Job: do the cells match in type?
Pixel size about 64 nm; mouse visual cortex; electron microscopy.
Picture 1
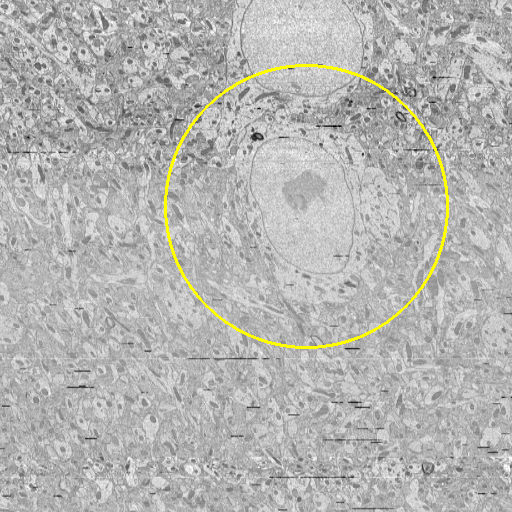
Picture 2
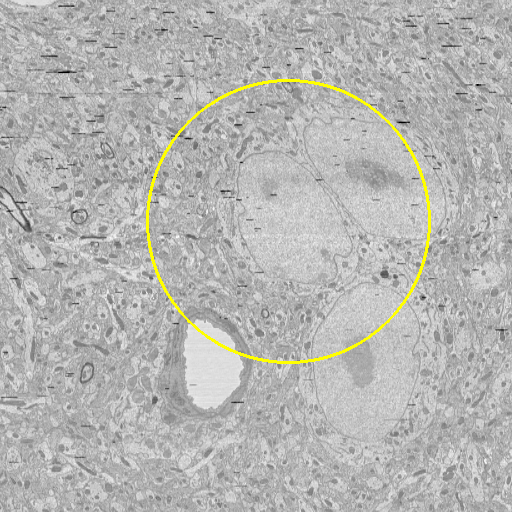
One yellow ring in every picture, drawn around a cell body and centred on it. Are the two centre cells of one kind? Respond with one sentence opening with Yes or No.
Yes, the ringed cells in the two pictures are of one and the same kind.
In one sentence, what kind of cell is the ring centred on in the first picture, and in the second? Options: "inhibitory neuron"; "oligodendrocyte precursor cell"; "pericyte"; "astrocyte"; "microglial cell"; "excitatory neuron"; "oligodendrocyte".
The first and the second cell are each an excitatory neuron.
